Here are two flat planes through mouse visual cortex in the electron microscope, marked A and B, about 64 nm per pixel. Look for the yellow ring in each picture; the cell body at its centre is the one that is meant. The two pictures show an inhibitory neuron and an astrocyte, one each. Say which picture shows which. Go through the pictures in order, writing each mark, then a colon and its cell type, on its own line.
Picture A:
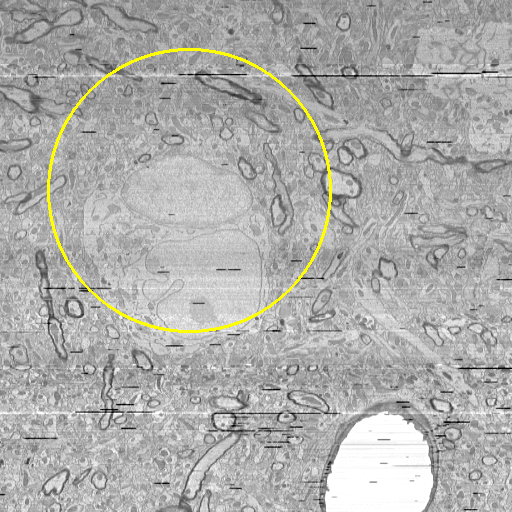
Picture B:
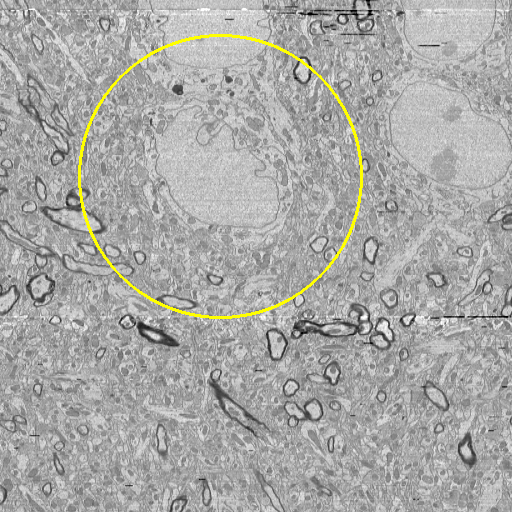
A: astrocyte
B: inhibitory neuron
